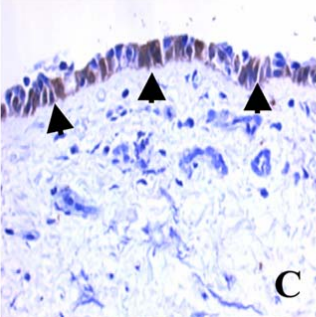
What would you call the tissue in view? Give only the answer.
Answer: Normal mucosa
